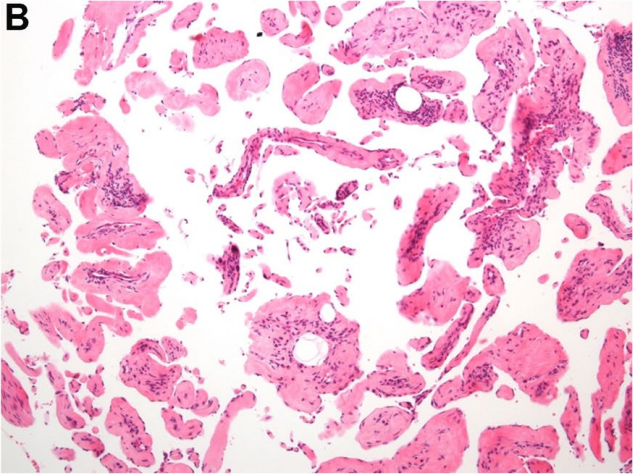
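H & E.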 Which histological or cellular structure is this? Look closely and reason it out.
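Many separate rounded and elongated fragments of tissue float in an empty space. Each fragment has a dense pink core with scattered nuclei along and within it.
Papillary projections.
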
